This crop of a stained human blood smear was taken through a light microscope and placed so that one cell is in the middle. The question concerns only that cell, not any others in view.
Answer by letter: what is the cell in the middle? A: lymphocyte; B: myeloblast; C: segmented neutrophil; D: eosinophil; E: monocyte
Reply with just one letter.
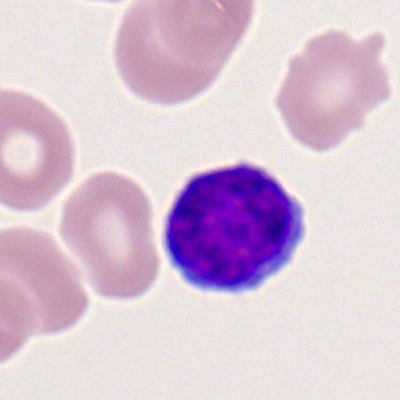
A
